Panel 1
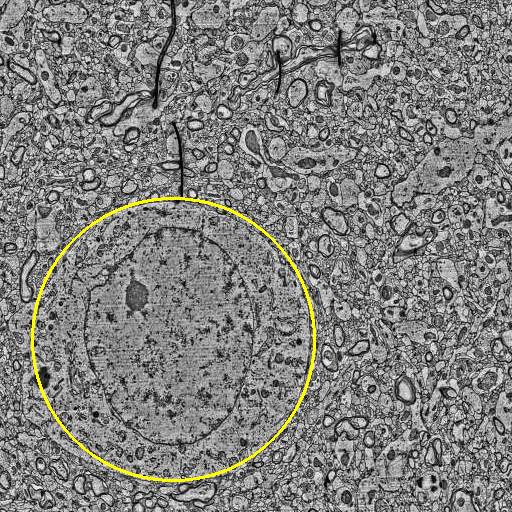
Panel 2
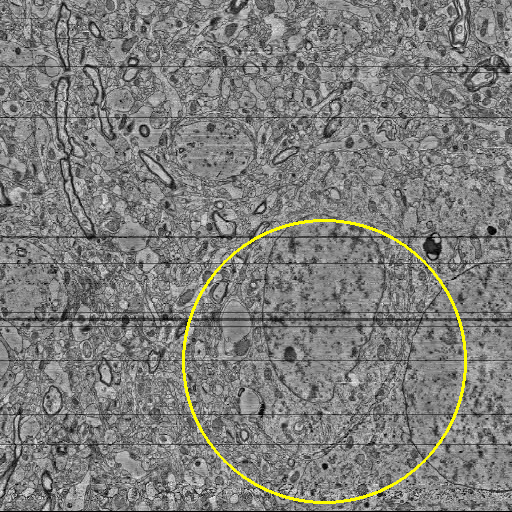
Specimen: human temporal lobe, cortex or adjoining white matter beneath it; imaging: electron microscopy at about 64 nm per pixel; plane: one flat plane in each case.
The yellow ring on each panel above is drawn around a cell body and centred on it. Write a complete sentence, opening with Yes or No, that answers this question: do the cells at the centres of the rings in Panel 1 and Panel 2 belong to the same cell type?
No, the two cells belong to two cell types.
